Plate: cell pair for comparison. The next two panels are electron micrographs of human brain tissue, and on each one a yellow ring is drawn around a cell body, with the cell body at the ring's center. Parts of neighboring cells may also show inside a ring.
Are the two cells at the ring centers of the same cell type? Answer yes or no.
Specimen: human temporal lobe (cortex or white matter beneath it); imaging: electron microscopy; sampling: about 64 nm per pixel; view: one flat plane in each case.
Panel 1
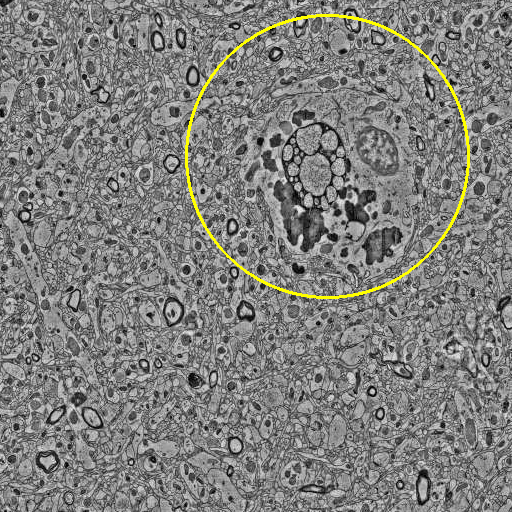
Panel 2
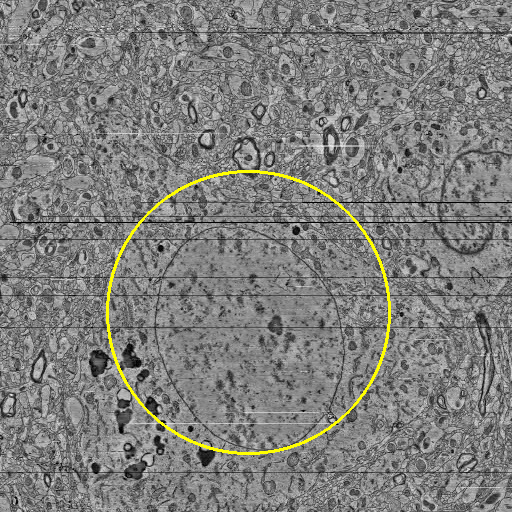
no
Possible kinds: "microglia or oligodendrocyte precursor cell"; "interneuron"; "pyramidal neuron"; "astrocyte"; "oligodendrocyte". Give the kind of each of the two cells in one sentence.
The cell in the second picture is a pyramidal neuron, and that in the first is an astrocyte.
